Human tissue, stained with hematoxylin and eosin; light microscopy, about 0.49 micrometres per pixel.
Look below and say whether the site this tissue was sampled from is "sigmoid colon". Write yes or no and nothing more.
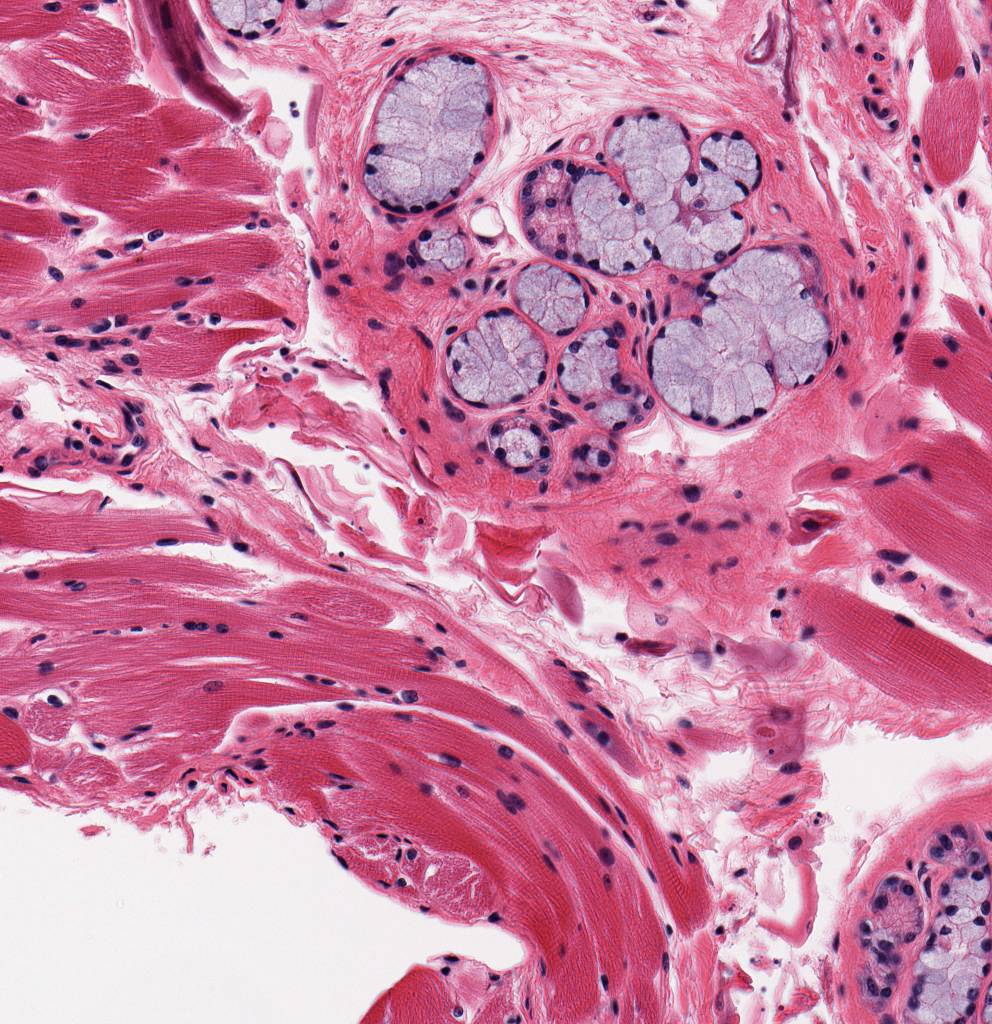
no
